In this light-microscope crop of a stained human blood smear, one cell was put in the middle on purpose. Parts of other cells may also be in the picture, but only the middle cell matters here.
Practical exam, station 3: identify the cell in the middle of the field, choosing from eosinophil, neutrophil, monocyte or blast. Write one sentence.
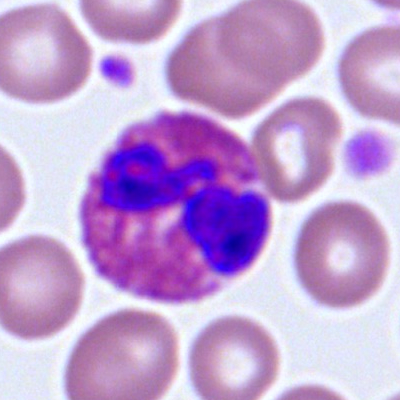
Standing at the centre of this crop is an eosinophil.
